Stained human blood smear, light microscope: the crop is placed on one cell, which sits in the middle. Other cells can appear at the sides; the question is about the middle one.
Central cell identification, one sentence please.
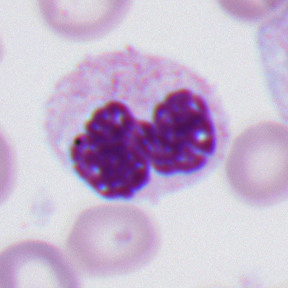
Located at the centre of the crop is a segmented neutrophil.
